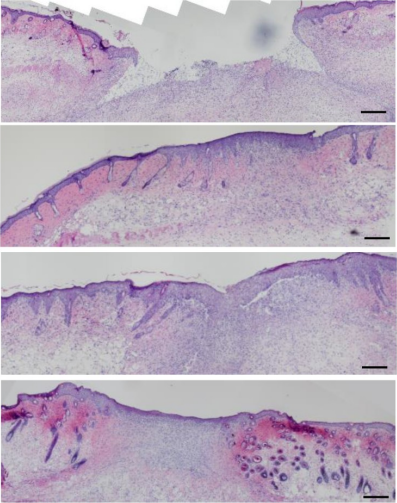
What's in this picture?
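These are sections of healing skin wounds stained with hematoxylin and eosin, seen at low power, with the wound bed filled by granulation tissue. A thin, dark purple surface layer of epidermis runs over the top of most of the strips, and at the wound edges it dips down into the pinker dermis together with hair follicles. In the uppermost strip the surface over the middle of the wound is not covered by a continuous purple layer, leaving a gap between the two skin edges.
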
